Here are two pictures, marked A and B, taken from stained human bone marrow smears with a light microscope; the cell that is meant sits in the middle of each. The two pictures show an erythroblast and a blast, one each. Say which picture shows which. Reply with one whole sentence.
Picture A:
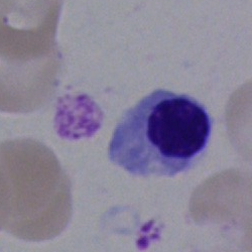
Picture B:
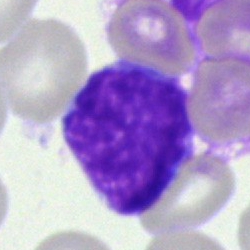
Picture B shows a blast, while picture A shows an erythroblast.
